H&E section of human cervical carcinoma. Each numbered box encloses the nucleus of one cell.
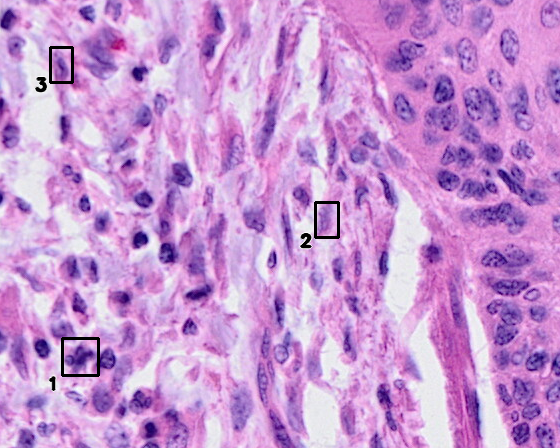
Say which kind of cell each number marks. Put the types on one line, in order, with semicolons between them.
lymphocyte; fibroblast; fibroblast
